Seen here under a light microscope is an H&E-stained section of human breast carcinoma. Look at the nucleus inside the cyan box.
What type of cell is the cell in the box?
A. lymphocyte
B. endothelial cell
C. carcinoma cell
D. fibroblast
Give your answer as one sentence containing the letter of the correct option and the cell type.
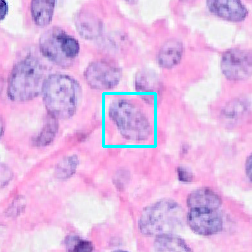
Option C is right, and the cell in the box is a carcinoma cell.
